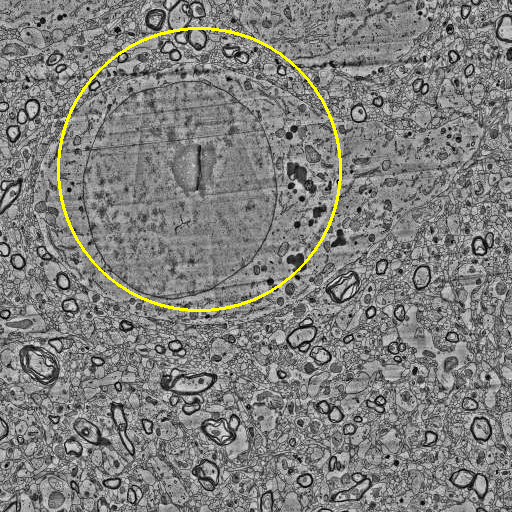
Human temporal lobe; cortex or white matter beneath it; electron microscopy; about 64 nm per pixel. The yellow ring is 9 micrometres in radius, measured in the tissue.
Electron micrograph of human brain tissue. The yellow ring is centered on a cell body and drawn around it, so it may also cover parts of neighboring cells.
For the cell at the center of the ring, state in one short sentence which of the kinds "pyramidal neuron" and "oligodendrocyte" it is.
This ring is centered on a pyramidal neuron.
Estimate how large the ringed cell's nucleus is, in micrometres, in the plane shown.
The ringed cell's nucleus is about 13 micrometres across in this plane.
